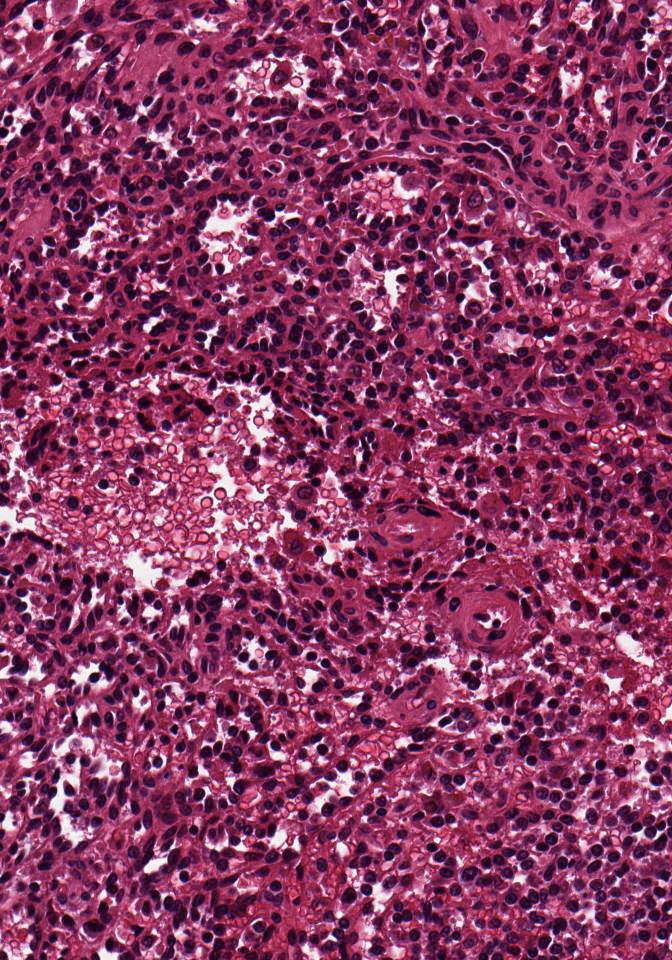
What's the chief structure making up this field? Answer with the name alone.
red pulp of the spleen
